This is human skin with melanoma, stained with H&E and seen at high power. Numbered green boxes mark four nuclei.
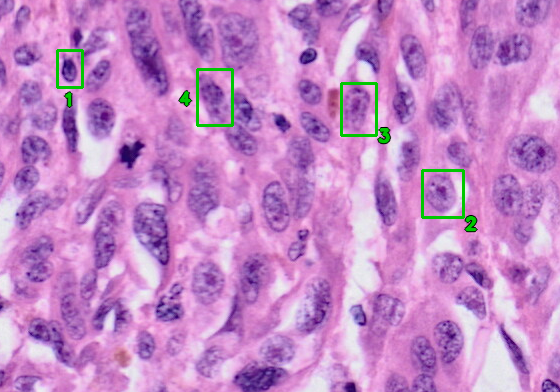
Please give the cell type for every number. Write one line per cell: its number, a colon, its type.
1: lymphocyte
2: melanoma cell
3: melanoma cell
4: melanoma cell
